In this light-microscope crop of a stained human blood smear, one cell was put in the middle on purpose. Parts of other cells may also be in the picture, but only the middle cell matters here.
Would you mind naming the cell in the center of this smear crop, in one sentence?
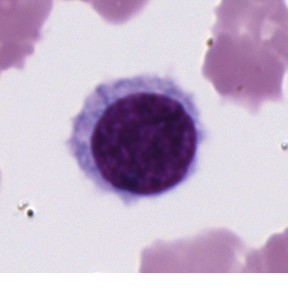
Standing at the centre of this crop is a hairy cell.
